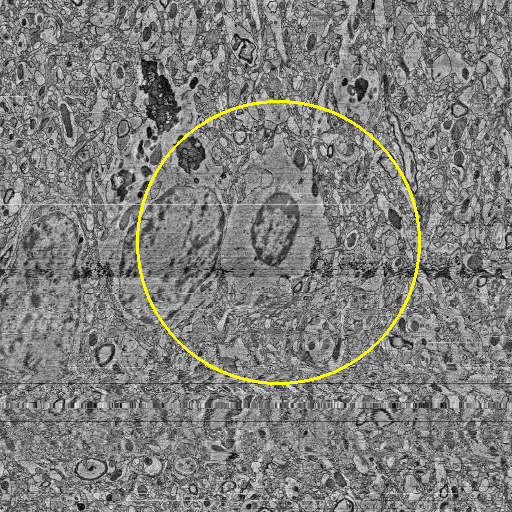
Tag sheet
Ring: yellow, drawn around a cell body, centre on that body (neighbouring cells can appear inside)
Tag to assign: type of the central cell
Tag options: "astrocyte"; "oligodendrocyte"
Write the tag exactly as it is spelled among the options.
astrocyte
